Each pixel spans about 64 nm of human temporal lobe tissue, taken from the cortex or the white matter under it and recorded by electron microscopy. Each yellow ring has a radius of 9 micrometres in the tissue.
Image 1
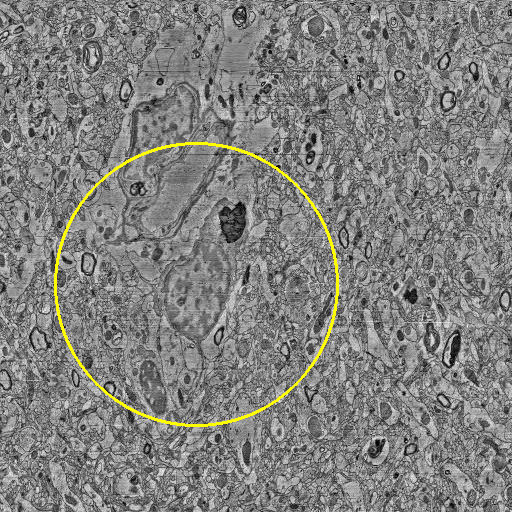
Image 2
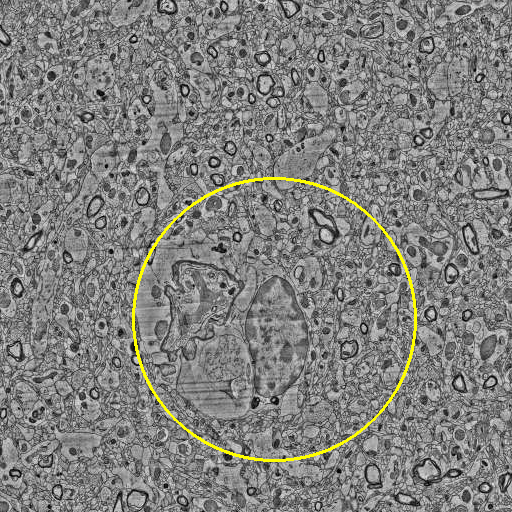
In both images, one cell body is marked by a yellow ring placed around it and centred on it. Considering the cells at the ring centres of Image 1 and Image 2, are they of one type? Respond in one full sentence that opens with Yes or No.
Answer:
No, two types apply to the ring-centred cells of Image 1 and Image 2.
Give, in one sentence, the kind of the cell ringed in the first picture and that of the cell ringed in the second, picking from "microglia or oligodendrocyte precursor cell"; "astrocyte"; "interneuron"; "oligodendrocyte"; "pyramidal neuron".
For the first picture it is an oligodendrocyte; for the second, a microglial cell or oligodendrocyte precursor cell.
